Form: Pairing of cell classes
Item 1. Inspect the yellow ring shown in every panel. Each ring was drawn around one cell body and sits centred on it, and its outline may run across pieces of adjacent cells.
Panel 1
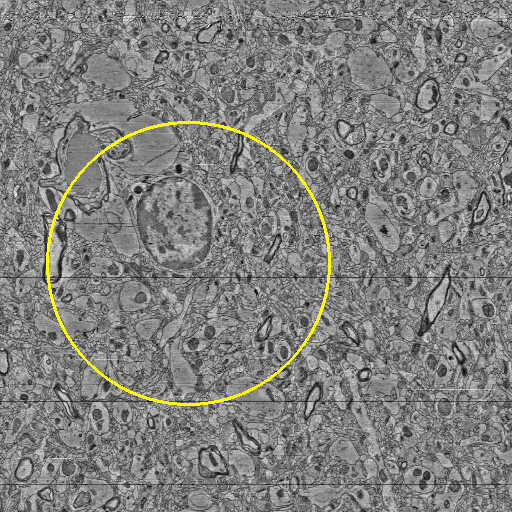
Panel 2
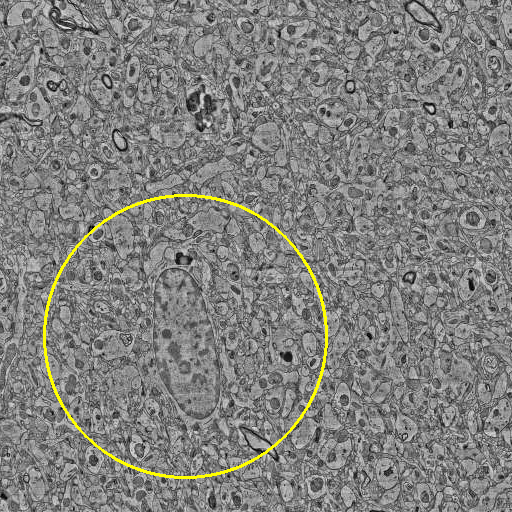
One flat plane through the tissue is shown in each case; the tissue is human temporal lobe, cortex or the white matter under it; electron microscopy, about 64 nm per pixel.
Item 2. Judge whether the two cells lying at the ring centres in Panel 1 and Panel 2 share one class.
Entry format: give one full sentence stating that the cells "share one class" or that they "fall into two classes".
The cells at the ring centres in Panel 1 and Panel 2 share one class.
